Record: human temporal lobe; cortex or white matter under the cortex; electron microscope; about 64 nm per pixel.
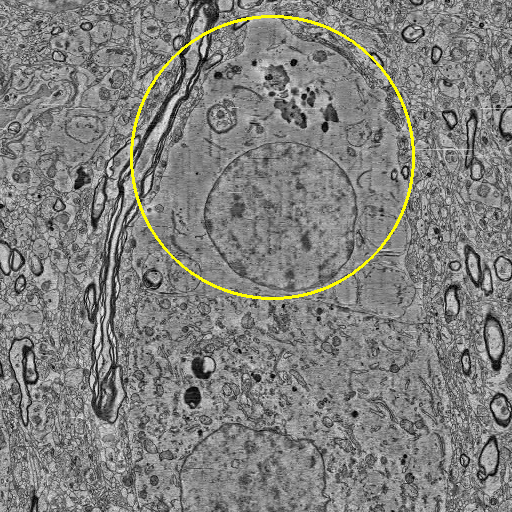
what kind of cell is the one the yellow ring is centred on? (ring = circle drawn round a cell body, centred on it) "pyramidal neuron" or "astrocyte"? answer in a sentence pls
The ring is drawn around an astrocyte.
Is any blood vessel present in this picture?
Yes.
